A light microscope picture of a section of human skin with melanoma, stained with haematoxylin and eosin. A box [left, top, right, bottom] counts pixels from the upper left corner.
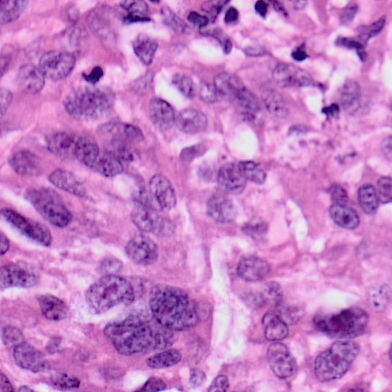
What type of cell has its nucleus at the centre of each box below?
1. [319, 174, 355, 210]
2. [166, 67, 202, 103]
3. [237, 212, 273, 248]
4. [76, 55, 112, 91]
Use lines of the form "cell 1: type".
cell 1: melanoma cell
cell 2: melanoma cell
cell 3: melanoma cell
cell 4: lymphocyte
